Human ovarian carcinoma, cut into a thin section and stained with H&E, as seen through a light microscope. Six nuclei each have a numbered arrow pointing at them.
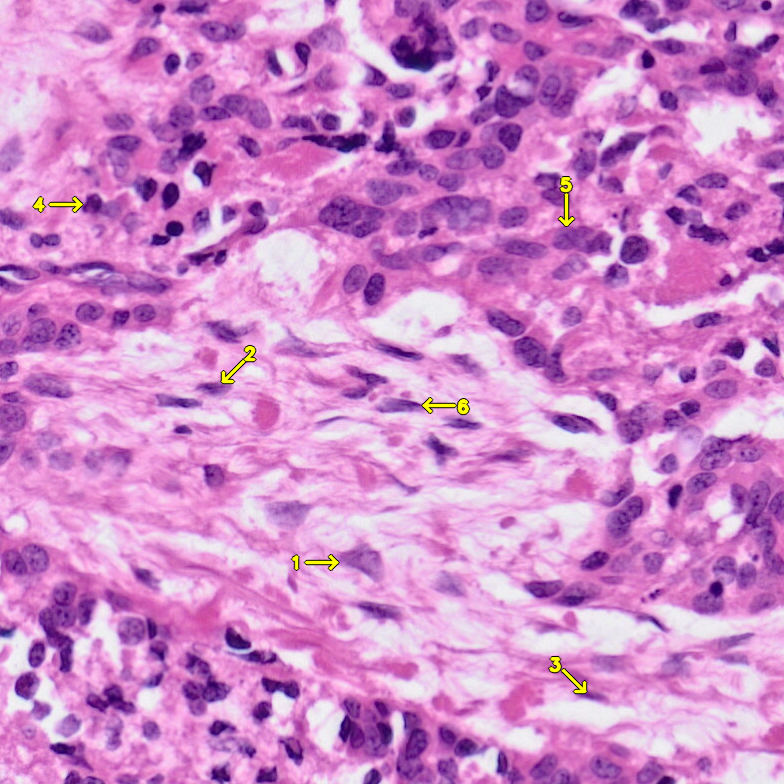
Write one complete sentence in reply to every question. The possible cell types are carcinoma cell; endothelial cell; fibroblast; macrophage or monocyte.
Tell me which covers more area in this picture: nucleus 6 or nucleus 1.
Nucleus 1 is larger, with an area about 2 times that of nucleus 6.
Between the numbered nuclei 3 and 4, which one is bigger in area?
It is nucleus 4, which covers about 2 times the area of nucleus 3.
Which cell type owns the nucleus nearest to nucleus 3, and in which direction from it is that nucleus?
Just above and to the right of nucleus 3 lies the nearest nucleus, which belongs to a fibroblast.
